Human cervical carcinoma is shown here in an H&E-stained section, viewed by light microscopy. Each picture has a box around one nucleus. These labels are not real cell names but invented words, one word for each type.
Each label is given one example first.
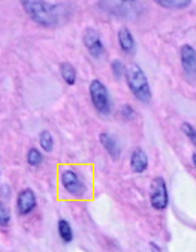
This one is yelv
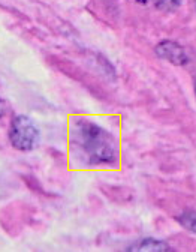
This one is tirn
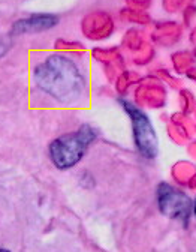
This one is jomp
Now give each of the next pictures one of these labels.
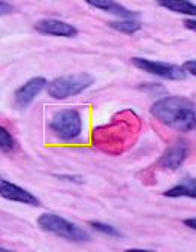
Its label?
jomp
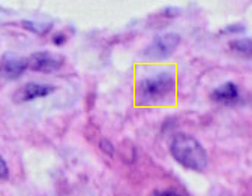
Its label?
tirn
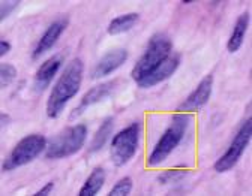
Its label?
tirn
